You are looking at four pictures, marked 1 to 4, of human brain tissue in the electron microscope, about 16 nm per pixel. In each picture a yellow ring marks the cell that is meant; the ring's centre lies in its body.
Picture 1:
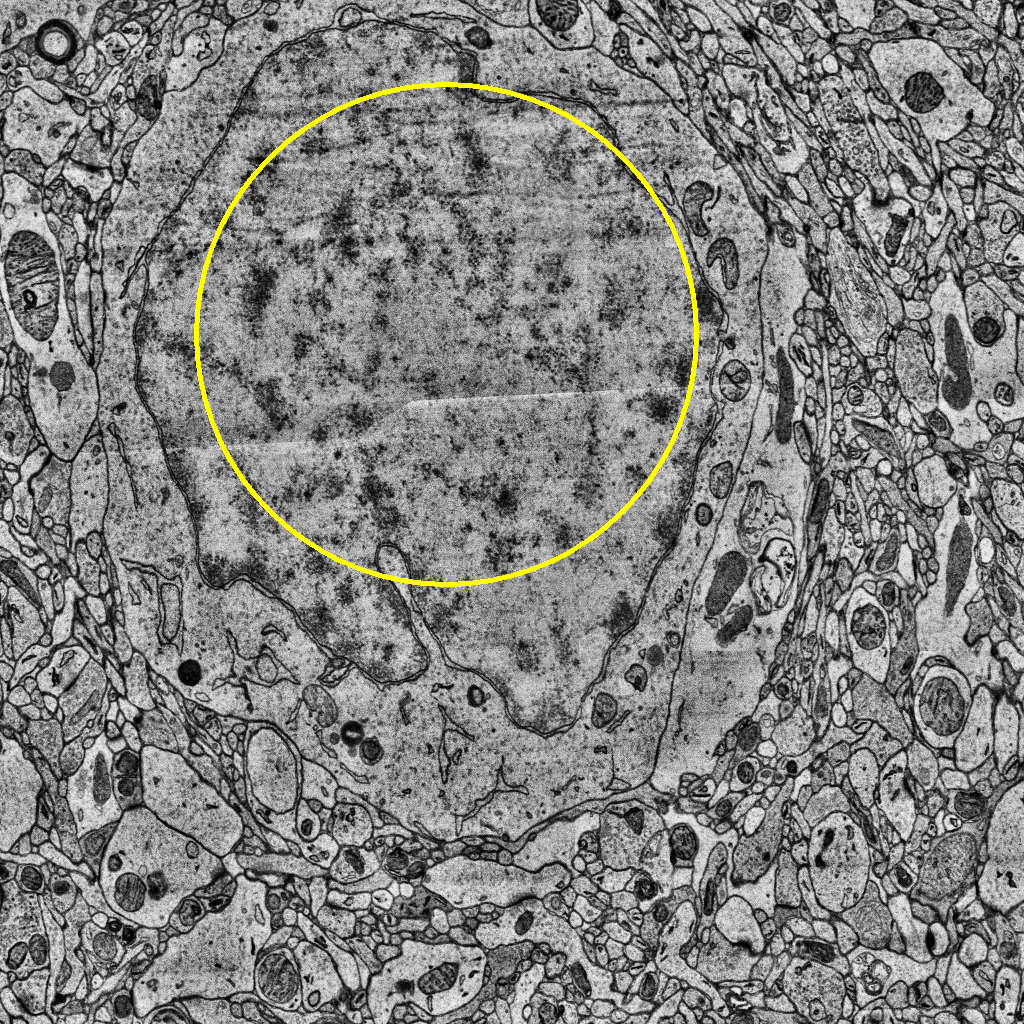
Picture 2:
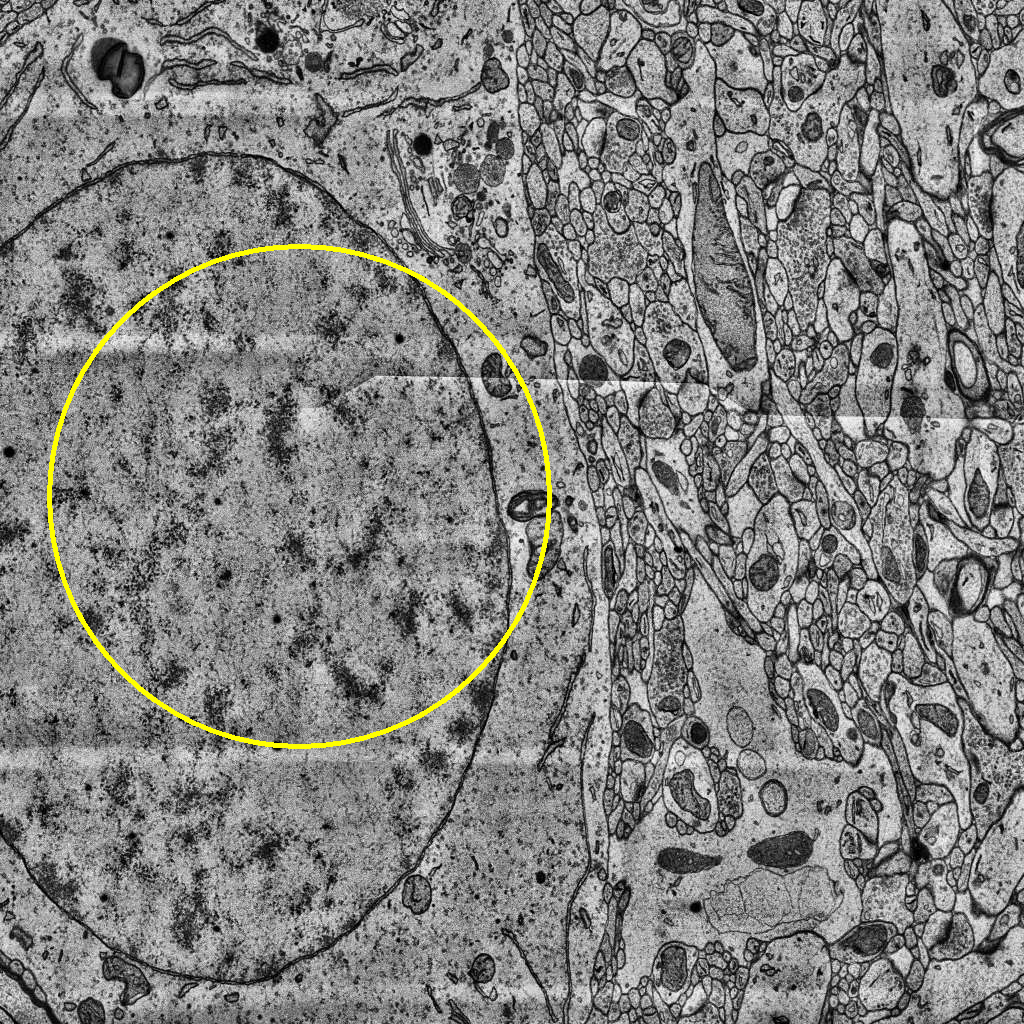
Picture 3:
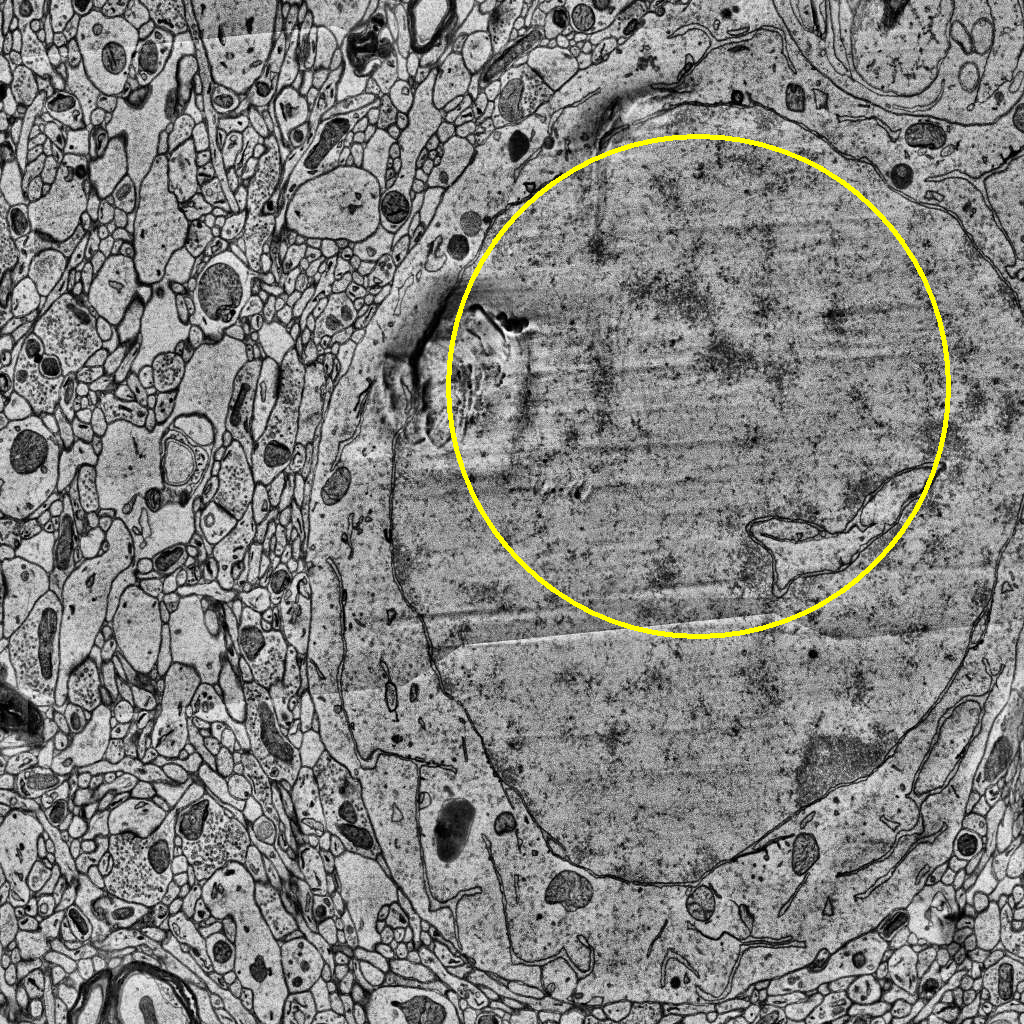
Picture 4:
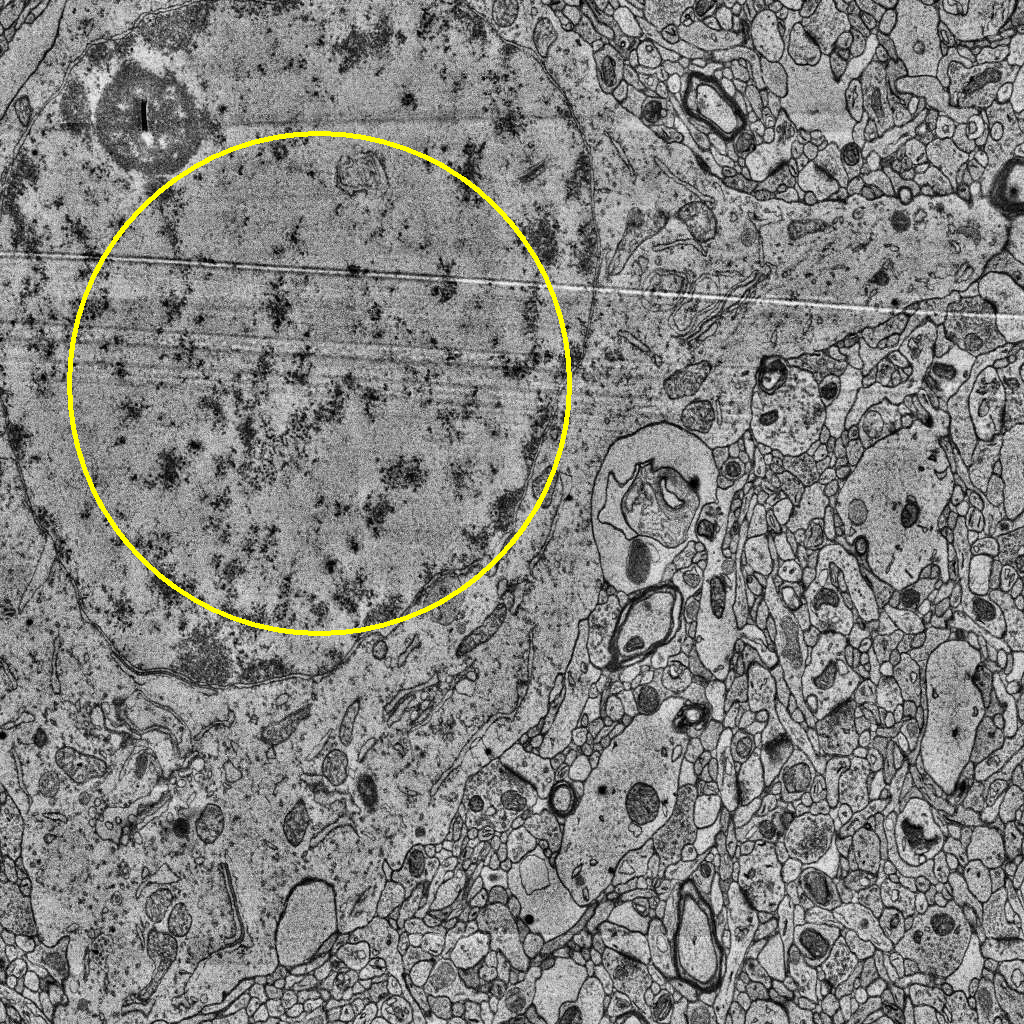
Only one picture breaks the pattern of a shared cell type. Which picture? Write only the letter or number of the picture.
2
